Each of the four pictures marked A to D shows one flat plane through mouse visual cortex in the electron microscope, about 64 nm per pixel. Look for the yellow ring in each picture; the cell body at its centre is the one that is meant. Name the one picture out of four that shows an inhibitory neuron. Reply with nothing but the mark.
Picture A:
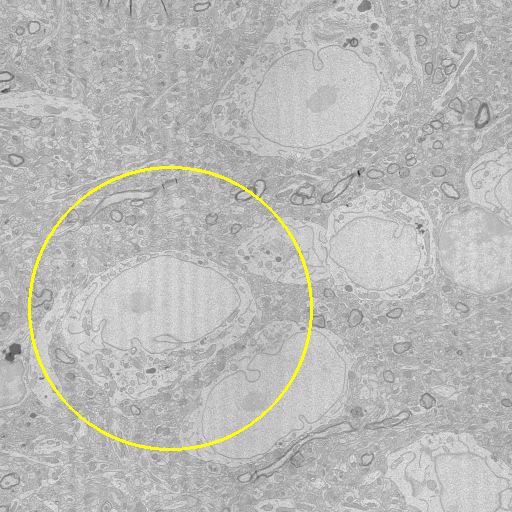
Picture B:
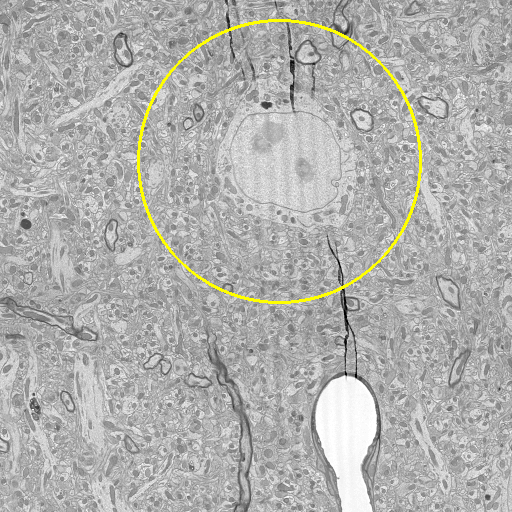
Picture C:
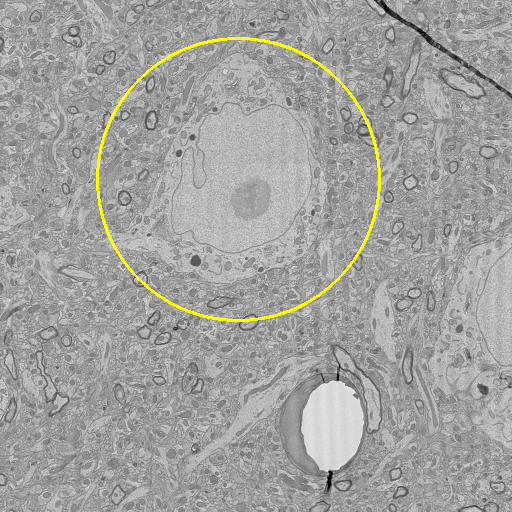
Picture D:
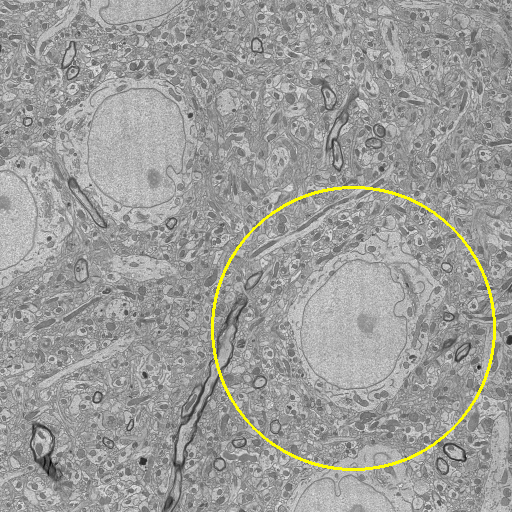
A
